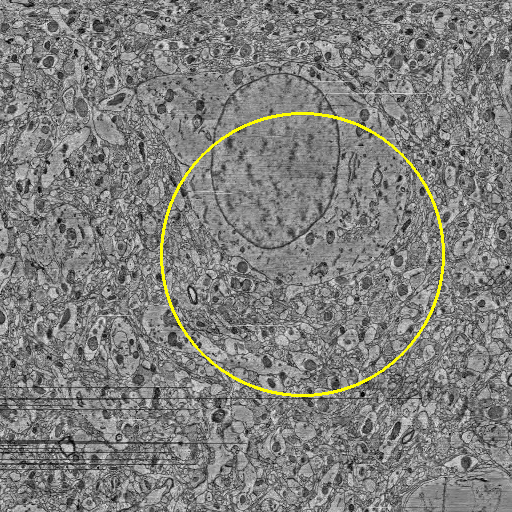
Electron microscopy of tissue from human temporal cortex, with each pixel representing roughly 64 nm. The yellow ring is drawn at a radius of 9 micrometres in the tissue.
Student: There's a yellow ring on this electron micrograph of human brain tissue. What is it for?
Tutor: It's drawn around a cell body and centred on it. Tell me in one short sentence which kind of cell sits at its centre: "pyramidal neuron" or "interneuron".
The cell at the centre of the ring is a pyramidal neuron.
